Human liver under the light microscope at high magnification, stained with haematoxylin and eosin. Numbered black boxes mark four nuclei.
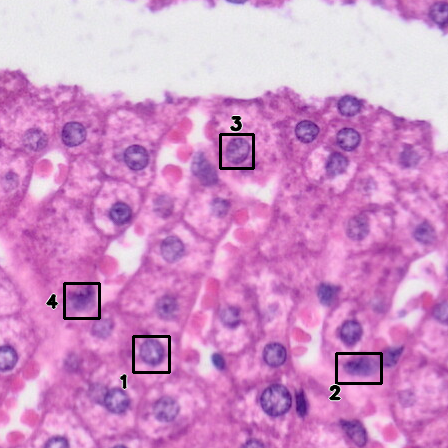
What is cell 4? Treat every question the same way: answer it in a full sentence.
Belonging to an endothelial cell is the nucleus that carries the number 4.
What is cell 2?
The mark numbered 2 indicates the nucleus of a fibroblast or stellate cell.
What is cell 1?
The numeral 1 marks a hepatocyte in this section.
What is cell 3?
Identified as a hepatocyte is the cell bearing the number 3.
